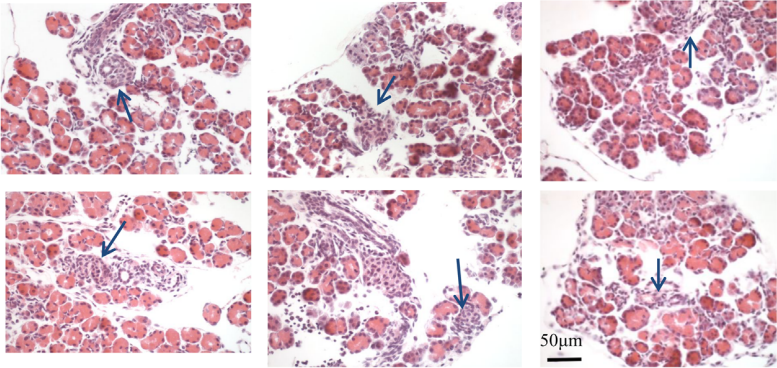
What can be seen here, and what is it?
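These are sections of pancreas in which most of the tissue is made of exocrine lobules of acinar cells with pink cytoplasm and purple nuclei, separated by pale gaps. Among them lie paler, less pink clusters of smaller cells with crowded purple nuclei, which the blue arrows point to. Some of these clusters sit beside small ducts and vessels in loose connective tissue. In the rightmost column the arrowed clusters are less clearly bounded and blend into the surrounding acinar tissue.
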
